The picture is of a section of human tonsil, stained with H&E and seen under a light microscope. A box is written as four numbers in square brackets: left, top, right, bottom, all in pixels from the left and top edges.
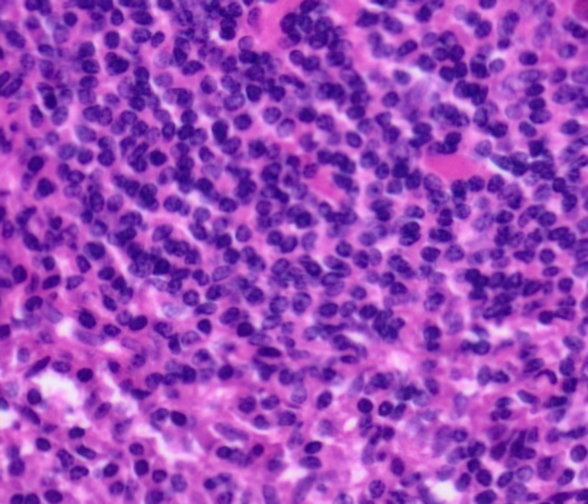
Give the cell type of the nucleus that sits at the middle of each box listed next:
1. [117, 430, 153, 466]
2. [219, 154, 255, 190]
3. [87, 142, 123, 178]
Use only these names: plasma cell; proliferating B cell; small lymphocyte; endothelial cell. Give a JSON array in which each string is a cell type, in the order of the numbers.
["plasma cell", "small lymphocyte", "small lymphocyte"]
